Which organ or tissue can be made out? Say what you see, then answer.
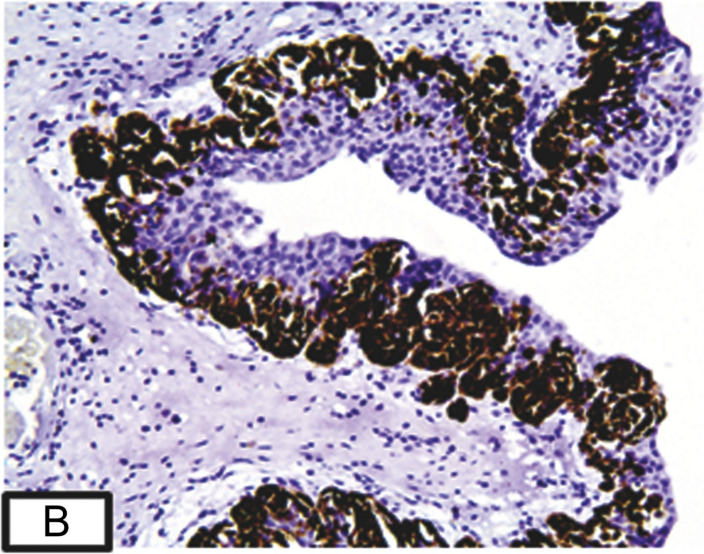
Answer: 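A multilayered epithelium of crowded small cells lines a folded, slit-like lumen. Loose pale stroma with scattered nuclei lies beneath the epithelium. That points to this answer: urothelium.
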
